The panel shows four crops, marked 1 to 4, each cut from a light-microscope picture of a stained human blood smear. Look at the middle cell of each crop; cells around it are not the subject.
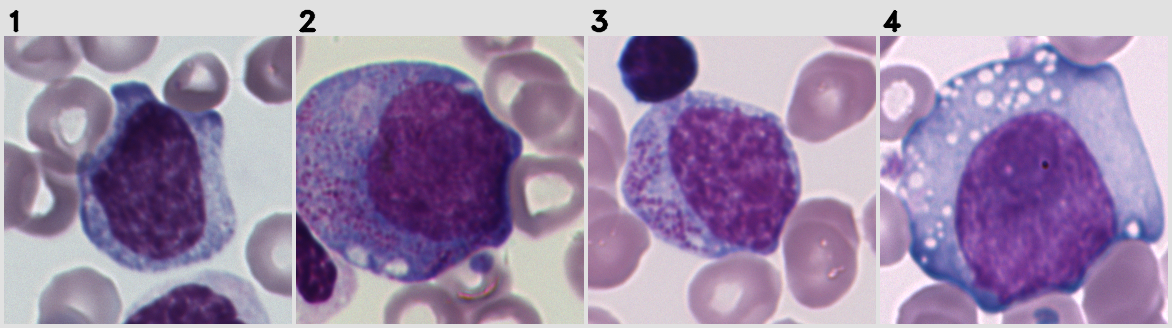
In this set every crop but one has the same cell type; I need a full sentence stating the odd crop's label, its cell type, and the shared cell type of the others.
Crop 4 is a blast, and the other crops all show promyelocytes.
